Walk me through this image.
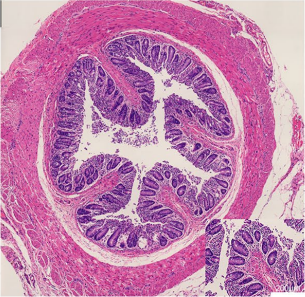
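This is a cross-section of colon showing an intact mucosa of closely packed tubular crypts around a folded central lumen. The folds of mucosa project into a largely clear lumen. Beneath the mucosa lies a thin pale submucosa, and outside it a continuous pink band of smooth muscle forms the wall.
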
